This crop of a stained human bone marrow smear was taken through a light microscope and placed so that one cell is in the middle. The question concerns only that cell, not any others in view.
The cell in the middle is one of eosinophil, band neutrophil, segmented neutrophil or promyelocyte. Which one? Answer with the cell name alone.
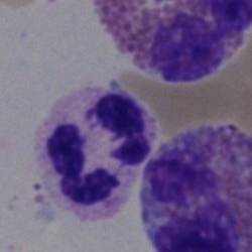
segmented neutrophil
